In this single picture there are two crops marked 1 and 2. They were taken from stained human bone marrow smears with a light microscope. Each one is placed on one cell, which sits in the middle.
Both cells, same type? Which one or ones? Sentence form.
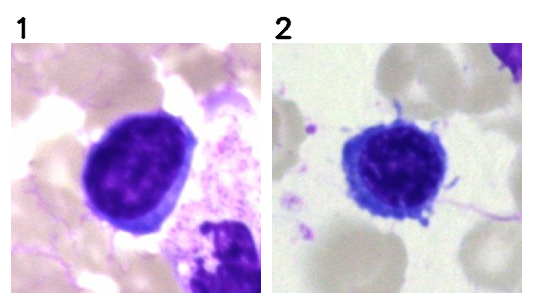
No, that is not right; crop 1 shows a lymphocyte and crop 2 shows an erythroblast.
